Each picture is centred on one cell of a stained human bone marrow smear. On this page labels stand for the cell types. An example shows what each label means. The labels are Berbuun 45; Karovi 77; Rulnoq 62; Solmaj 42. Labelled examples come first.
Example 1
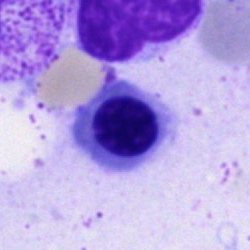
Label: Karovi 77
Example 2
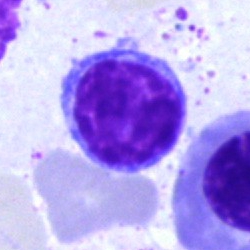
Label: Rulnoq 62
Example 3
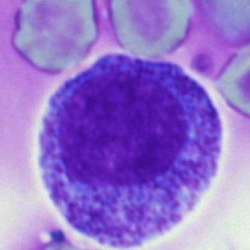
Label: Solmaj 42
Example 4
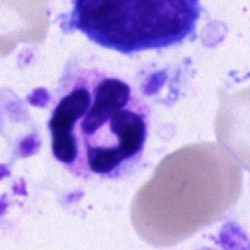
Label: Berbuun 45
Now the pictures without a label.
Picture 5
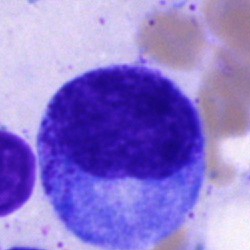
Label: Solmaj 42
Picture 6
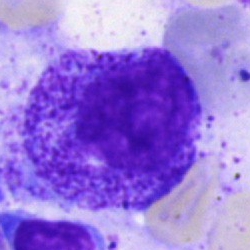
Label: Solmaj 42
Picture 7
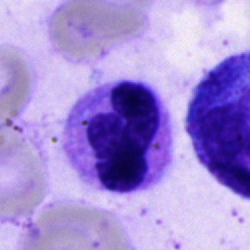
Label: Berbuun 45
